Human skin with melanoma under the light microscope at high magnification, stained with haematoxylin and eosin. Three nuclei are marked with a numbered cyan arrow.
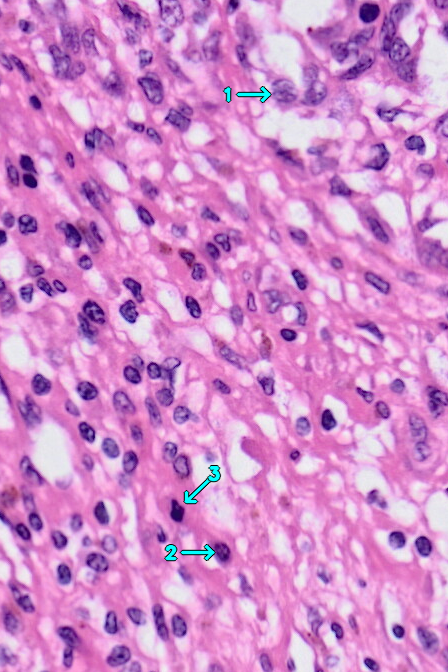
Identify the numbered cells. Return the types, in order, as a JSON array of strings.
["melanoma cell", "plasma cell", "plasma cell"]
